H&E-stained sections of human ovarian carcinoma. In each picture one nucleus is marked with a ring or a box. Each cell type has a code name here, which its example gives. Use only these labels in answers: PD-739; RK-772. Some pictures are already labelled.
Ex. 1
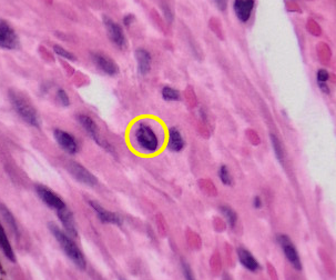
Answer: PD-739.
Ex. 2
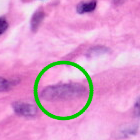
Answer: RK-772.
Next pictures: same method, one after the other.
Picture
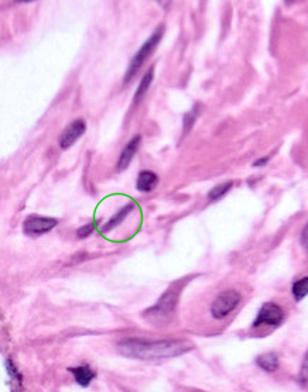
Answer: RK-772.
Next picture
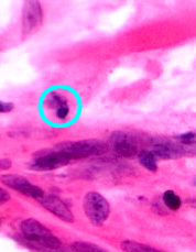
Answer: PD-739.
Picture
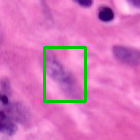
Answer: RK-772.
